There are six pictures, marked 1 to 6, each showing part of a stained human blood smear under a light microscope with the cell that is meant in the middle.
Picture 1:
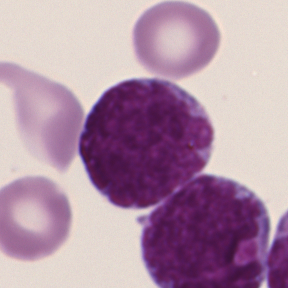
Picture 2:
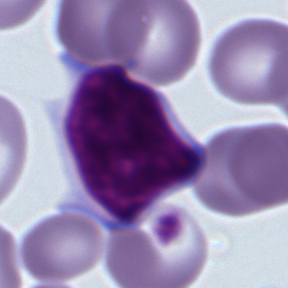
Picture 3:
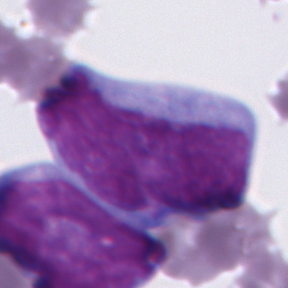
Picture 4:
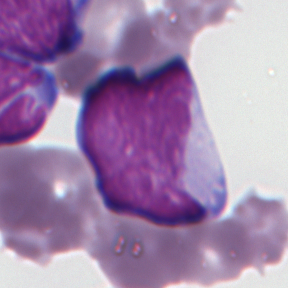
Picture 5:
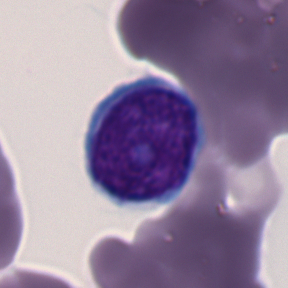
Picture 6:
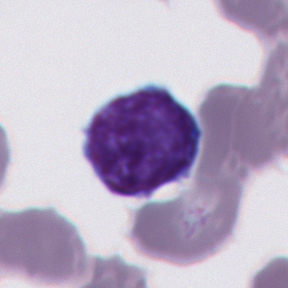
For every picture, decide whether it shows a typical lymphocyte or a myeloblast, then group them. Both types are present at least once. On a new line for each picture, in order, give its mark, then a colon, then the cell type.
1: myeloblast
2: typical lymphocyte
3: myeloblast
4: myeloblast
5: typical lymphocyte
6: typical lymphocyte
